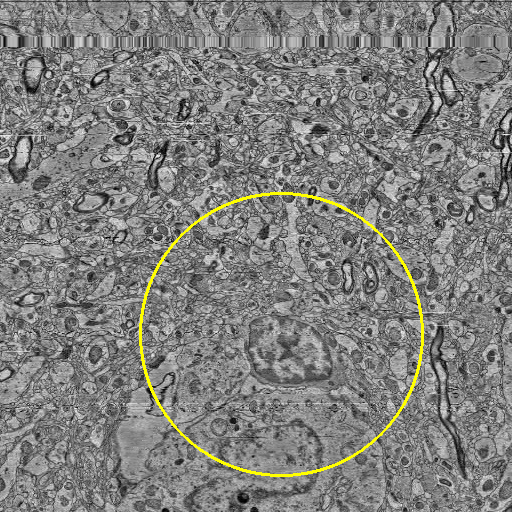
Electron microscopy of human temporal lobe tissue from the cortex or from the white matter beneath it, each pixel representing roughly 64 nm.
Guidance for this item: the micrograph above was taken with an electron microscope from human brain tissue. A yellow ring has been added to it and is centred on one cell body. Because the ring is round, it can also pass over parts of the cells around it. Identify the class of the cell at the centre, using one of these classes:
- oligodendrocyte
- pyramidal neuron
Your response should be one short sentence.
The ring surrounds the body of an oligodendrocyte.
